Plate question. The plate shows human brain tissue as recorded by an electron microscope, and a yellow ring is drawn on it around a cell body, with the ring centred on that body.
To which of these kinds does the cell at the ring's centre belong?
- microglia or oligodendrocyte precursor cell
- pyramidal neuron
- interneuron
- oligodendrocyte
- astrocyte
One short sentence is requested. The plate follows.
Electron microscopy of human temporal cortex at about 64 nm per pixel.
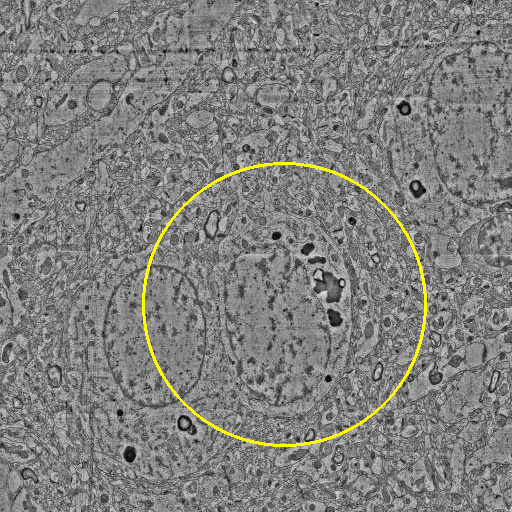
The cell at the ring's centre is an interneuron.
